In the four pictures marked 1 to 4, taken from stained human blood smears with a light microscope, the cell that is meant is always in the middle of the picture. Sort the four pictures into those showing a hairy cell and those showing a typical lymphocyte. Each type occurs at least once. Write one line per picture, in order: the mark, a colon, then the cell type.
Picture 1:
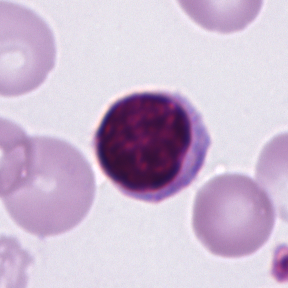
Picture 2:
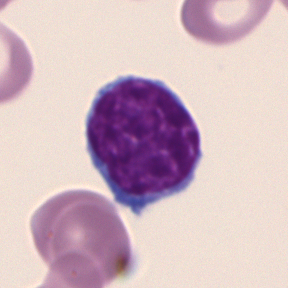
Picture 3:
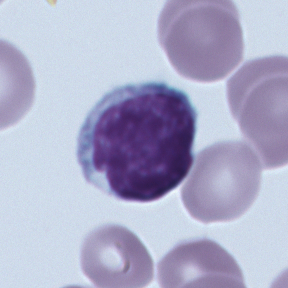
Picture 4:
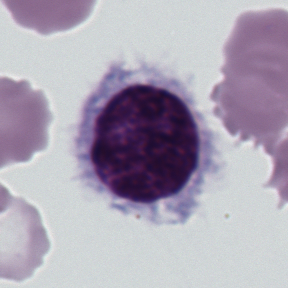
1: typical lymphocyte
2: typical lymphocyte
3: typical lymphocyte
4: hairy cell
